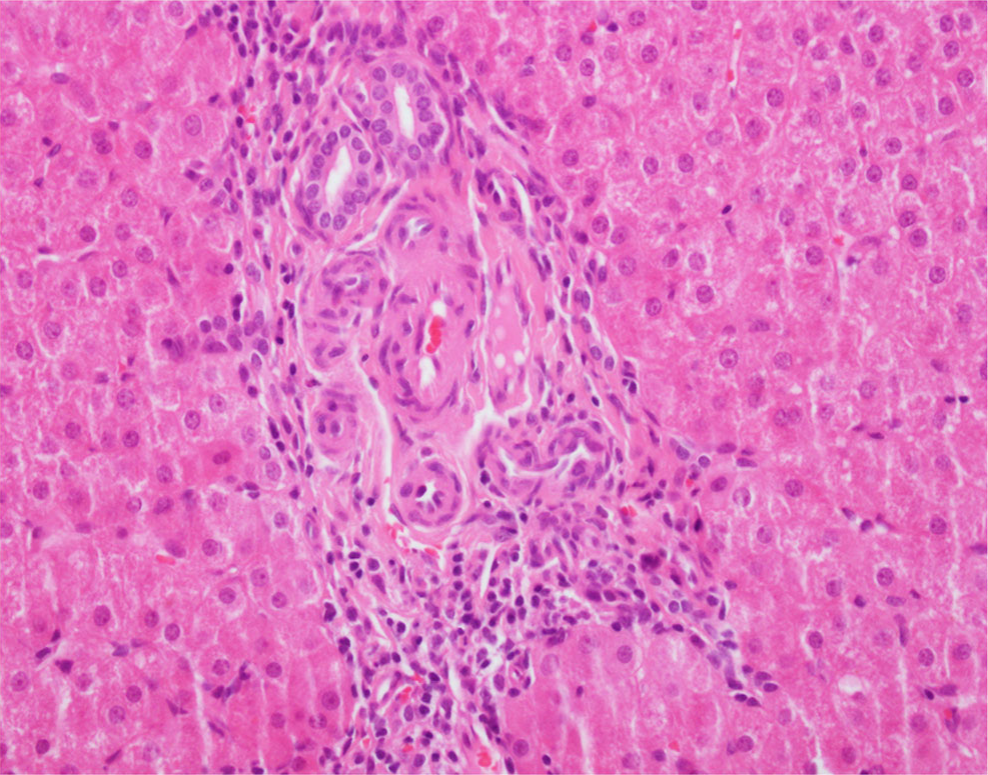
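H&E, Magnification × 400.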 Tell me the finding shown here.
No portal vein.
